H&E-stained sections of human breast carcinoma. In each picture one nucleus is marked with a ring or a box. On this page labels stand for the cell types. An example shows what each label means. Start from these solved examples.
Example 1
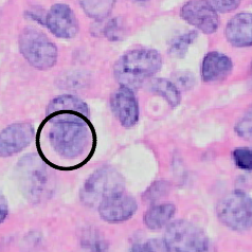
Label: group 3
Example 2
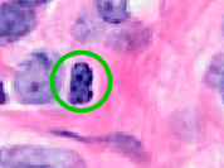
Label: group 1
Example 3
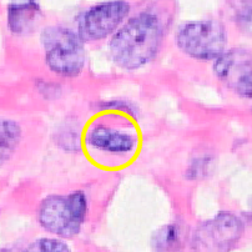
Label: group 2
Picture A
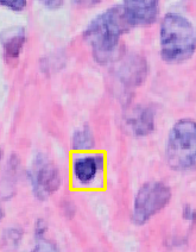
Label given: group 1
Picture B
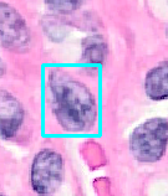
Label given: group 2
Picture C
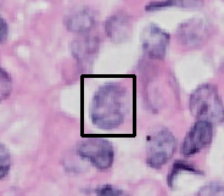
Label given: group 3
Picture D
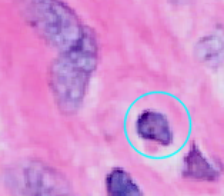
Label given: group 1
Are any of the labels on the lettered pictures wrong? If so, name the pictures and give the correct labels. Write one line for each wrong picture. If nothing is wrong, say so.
None of the labels needs changing.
